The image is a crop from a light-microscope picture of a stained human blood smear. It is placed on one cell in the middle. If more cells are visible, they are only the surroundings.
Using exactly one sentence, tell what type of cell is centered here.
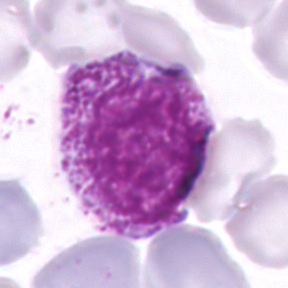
Centred in the crop is a myelocyte.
